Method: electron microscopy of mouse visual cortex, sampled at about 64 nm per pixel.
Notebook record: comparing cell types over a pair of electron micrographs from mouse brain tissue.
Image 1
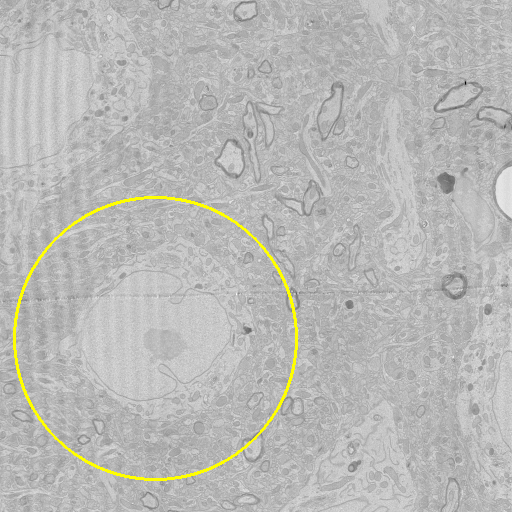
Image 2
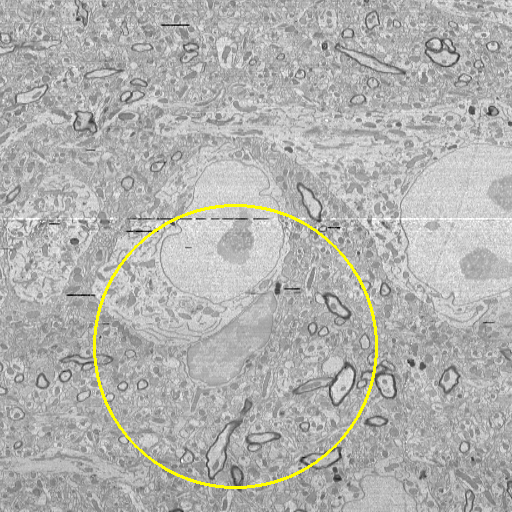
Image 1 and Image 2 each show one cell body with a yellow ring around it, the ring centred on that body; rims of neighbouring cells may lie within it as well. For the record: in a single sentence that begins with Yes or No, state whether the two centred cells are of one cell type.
No, two cell types are found among the centred cells of Image 1 and Image 2.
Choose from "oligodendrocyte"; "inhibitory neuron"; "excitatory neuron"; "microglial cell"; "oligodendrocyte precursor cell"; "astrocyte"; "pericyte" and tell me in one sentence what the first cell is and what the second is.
What the first ring is centred on is an excitatory neuron; what the second ring is centred on is a microglial cell.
